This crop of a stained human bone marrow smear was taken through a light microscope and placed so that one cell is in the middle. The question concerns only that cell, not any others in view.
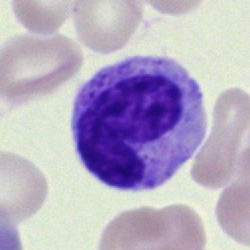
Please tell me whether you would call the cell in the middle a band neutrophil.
yes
